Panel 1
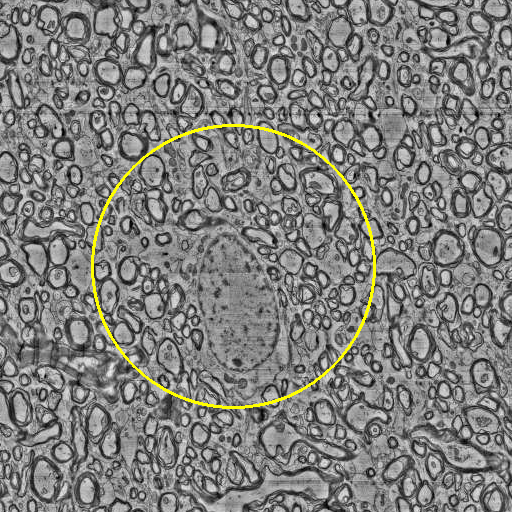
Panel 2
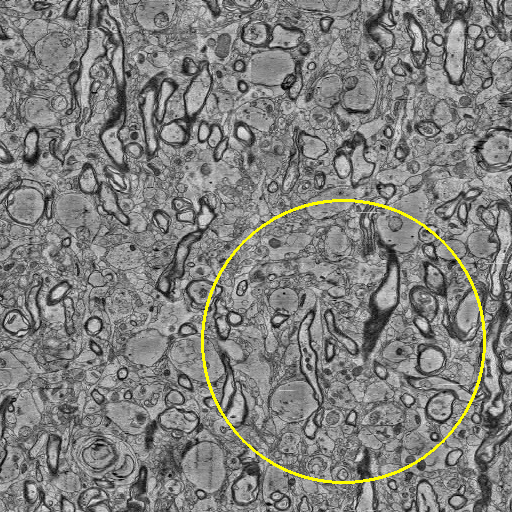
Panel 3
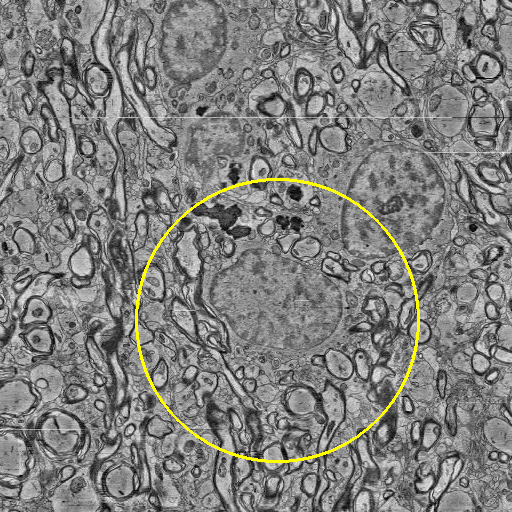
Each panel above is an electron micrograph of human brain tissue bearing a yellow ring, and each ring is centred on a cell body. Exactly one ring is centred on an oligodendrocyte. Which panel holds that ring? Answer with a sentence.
That ring is in Panel 3.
